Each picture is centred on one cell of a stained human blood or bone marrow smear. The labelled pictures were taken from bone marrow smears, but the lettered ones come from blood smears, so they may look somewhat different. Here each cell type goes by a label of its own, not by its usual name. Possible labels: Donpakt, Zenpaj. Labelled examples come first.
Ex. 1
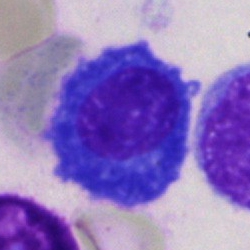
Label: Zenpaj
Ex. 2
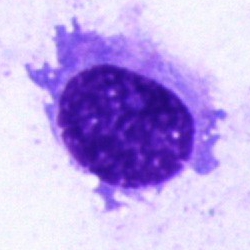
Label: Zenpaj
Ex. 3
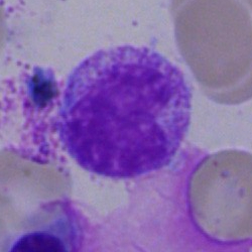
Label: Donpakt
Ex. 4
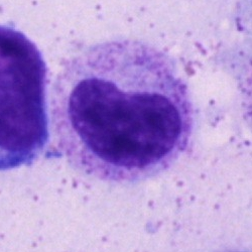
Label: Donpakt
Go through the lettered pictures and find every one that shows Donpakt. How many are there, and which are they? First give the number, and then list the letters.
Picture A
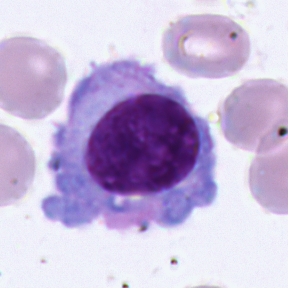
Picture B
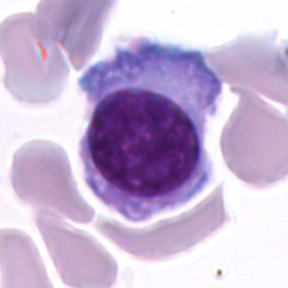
0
